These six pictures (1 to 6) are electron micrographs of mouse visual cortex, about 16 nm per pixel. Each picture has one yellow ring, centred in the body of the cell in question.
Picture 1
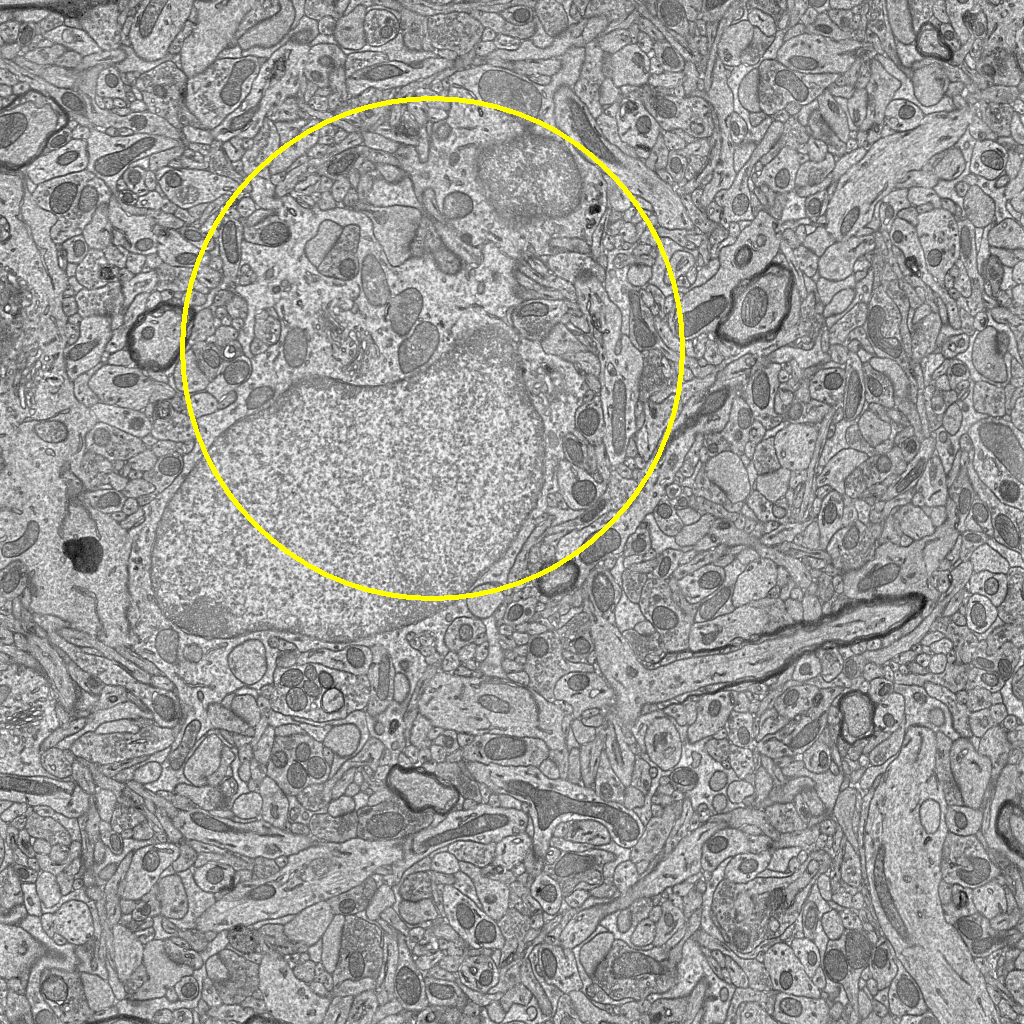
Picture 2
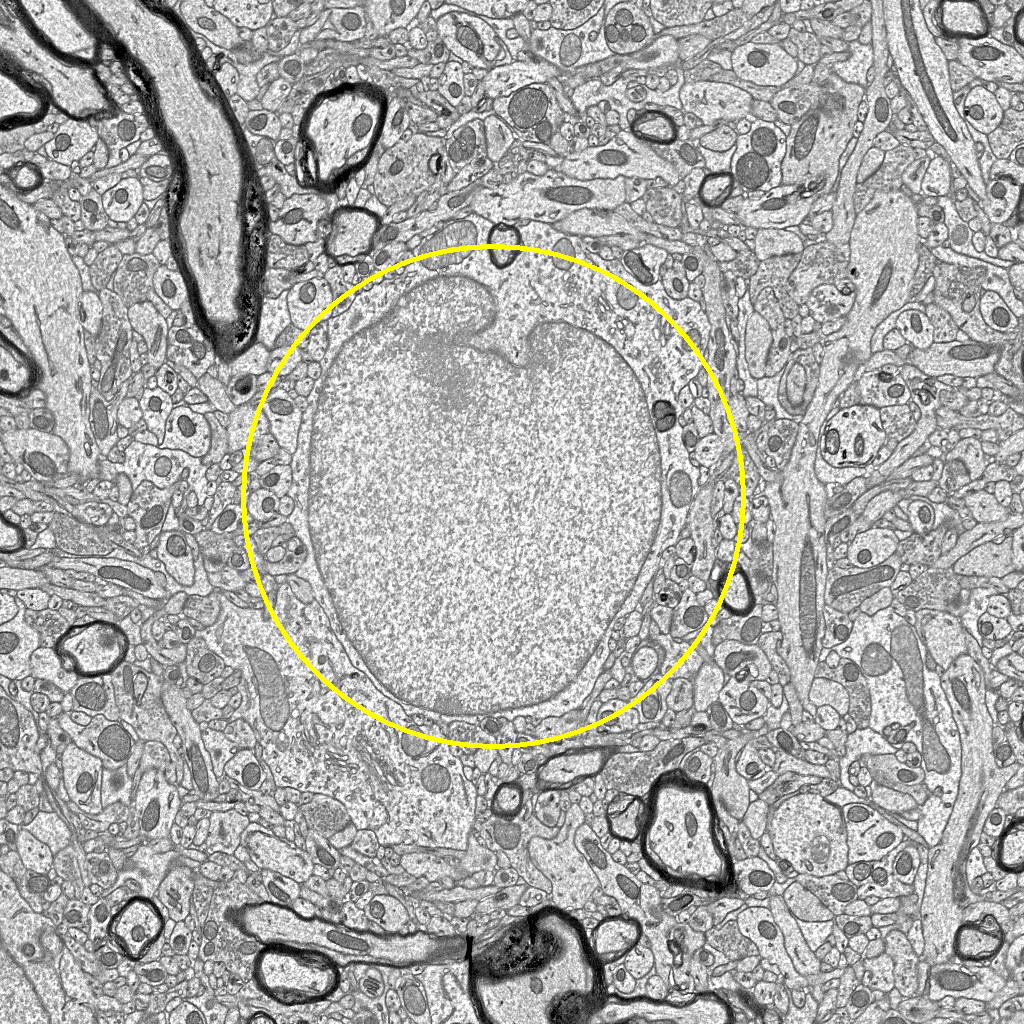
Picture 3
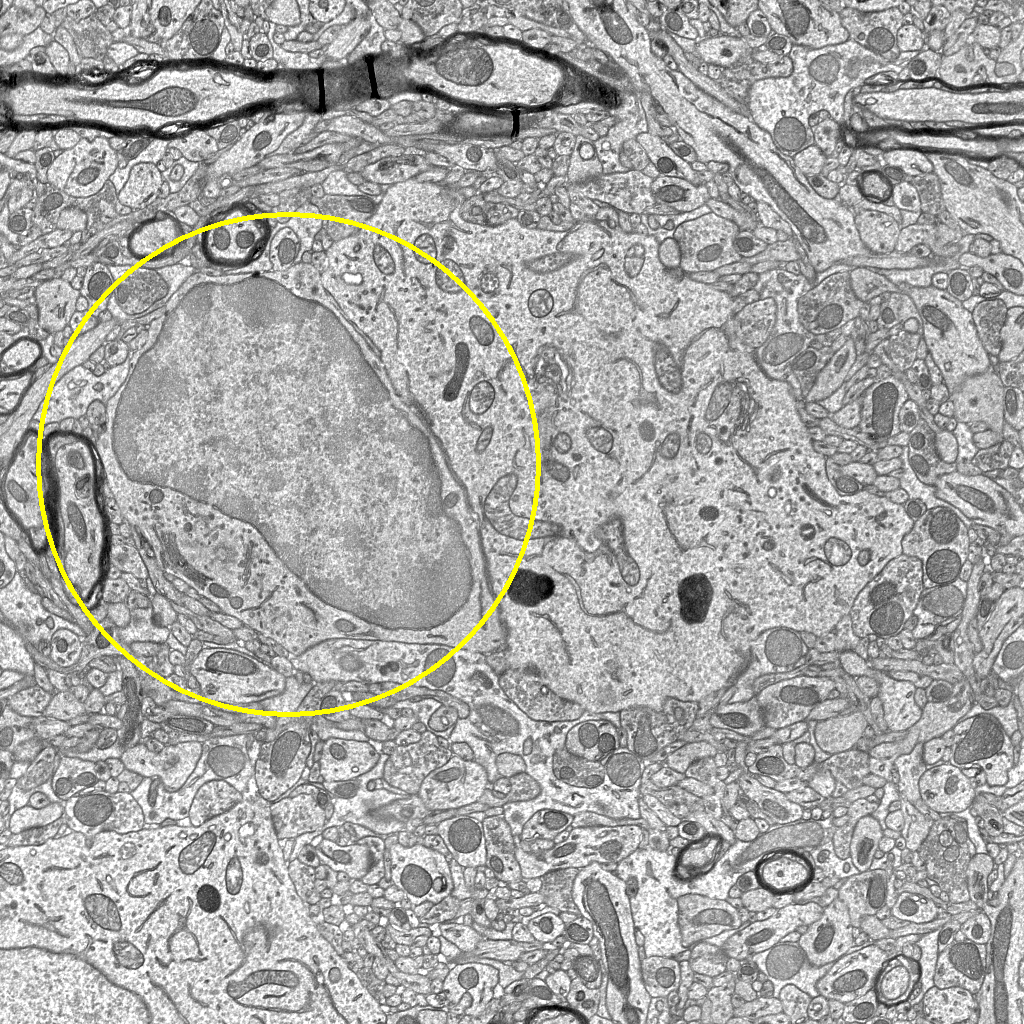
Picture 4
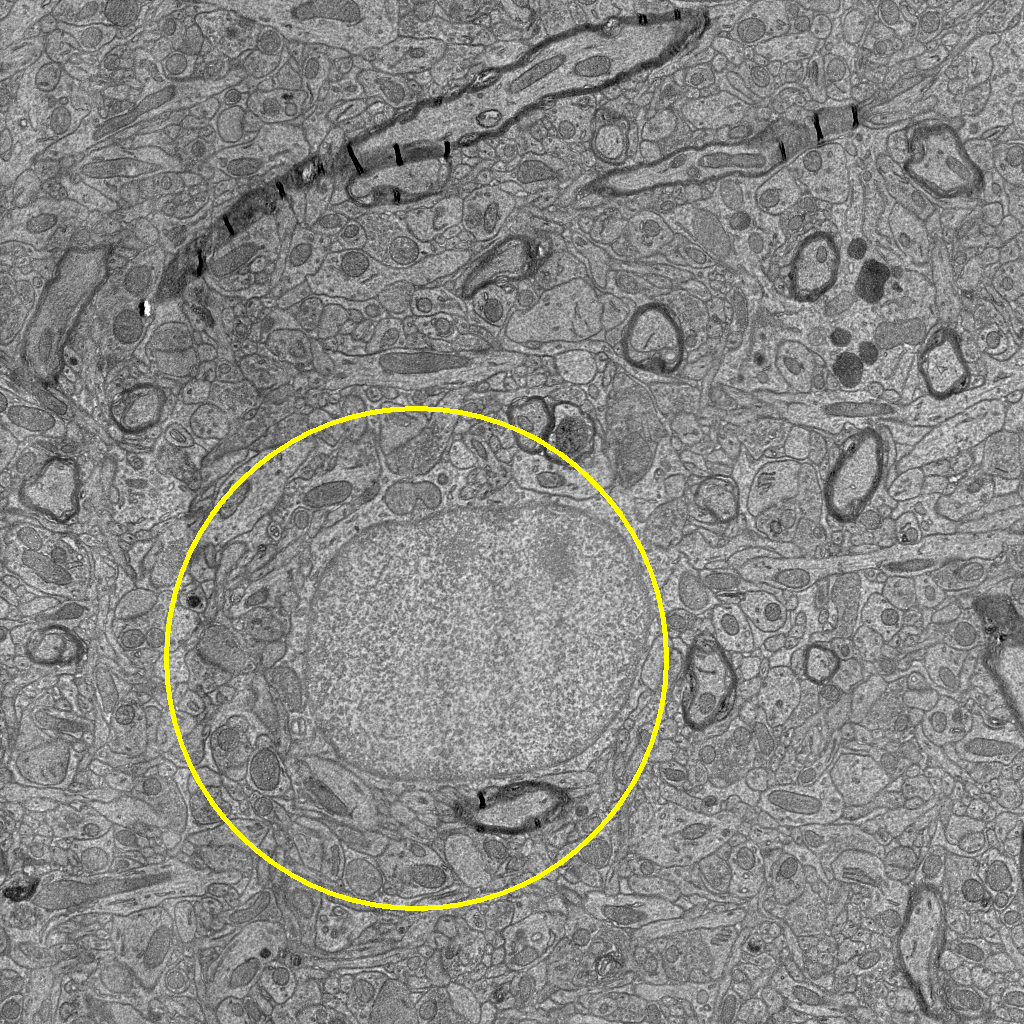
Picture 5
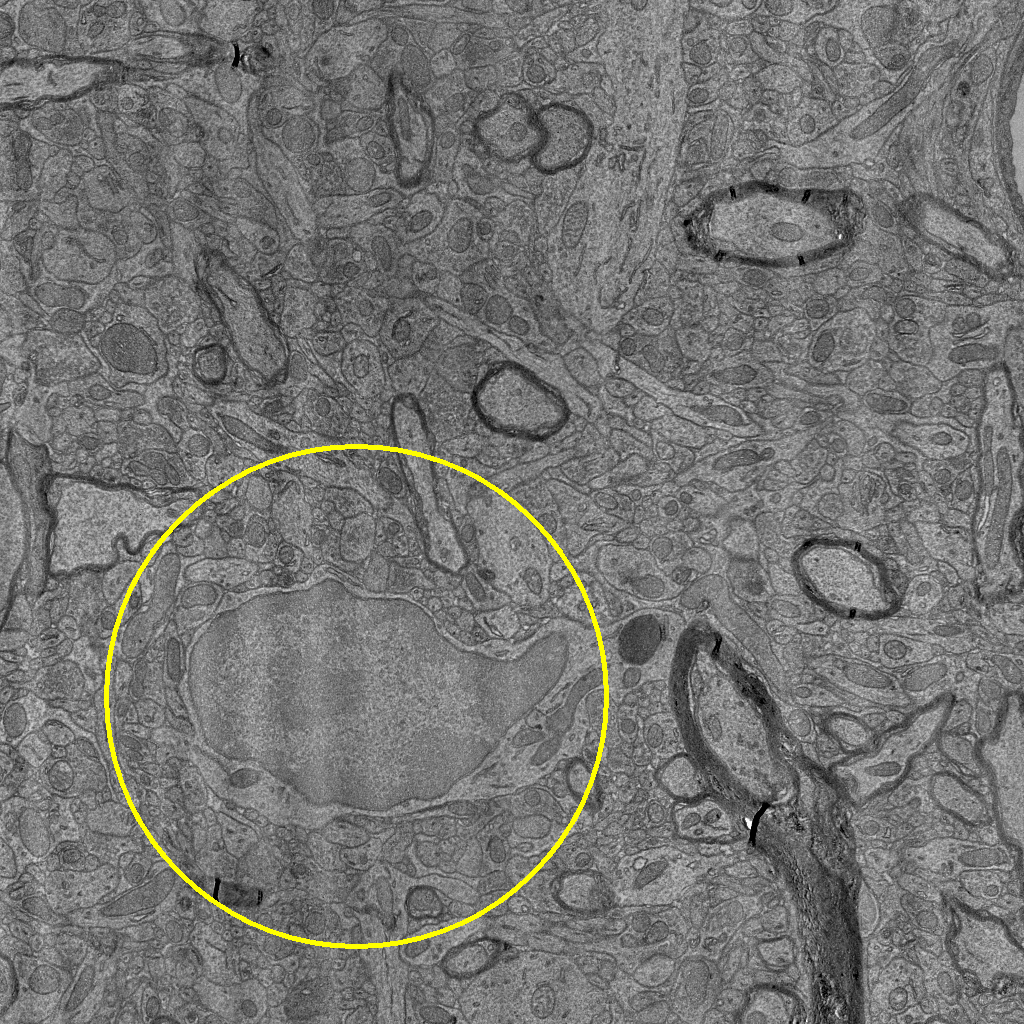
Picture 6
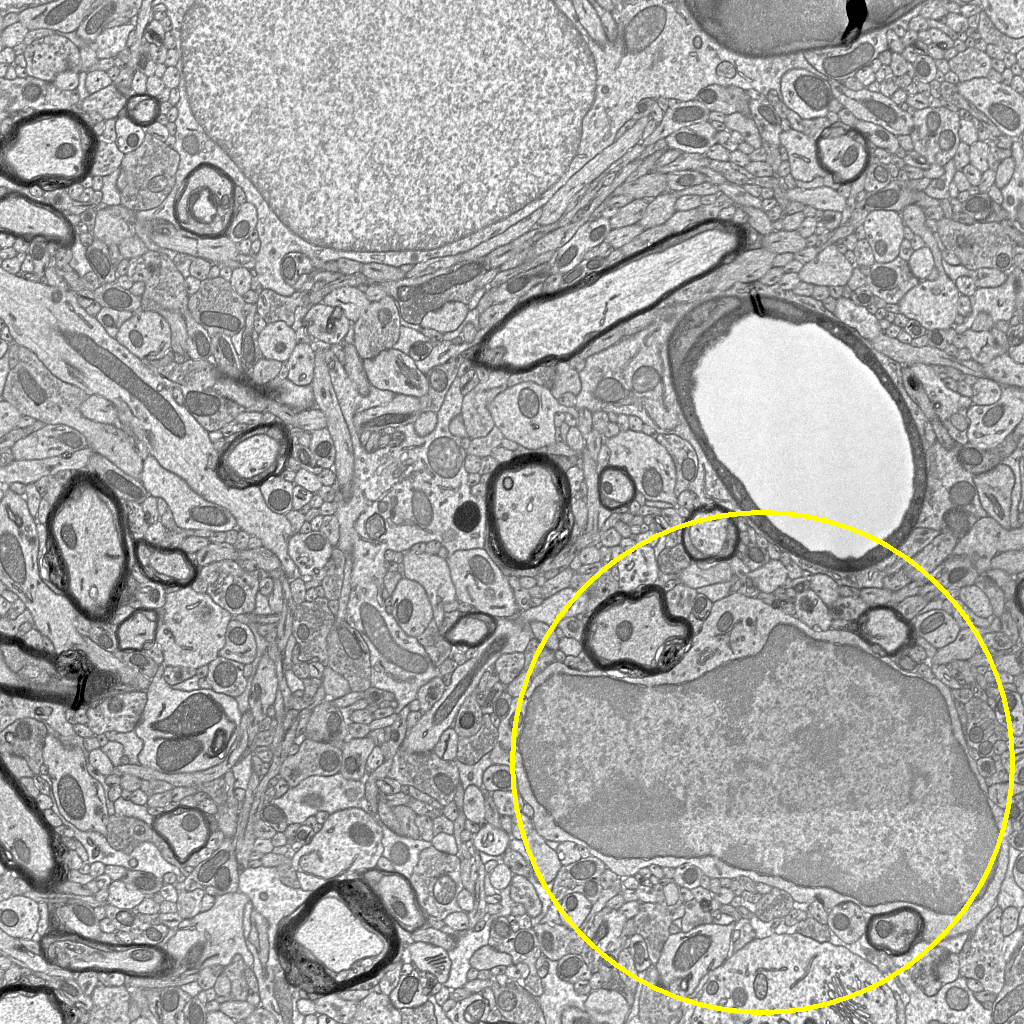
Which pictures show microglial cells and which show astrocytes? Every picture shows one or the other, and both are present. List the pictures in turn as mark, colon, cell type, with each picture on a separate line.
1: astrocyte
2: astrocyte
3: microglial cell
4: astrocyte
5: microglial cell
6: microglial cell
